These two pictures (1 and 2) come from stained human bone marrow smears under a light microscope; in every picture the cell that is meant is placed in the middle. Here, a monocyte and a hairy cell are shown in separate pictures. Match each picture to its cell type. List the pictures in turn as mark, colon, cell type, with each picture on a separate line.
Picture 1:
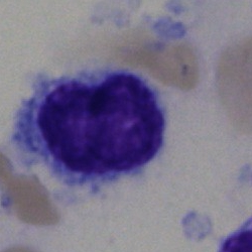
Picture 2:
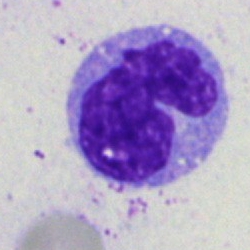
1: hairy cell
2: monocyte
